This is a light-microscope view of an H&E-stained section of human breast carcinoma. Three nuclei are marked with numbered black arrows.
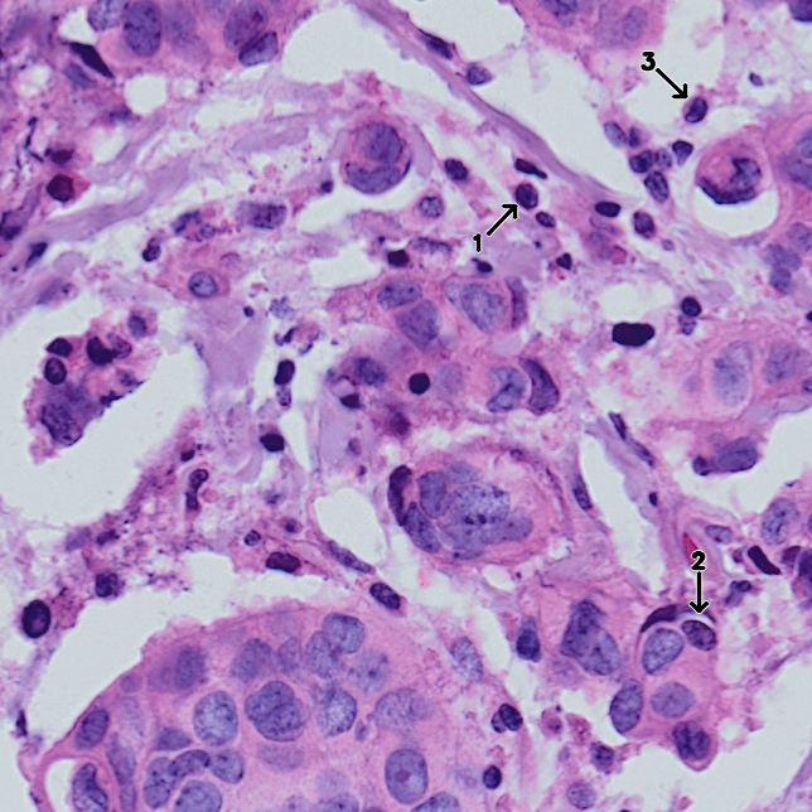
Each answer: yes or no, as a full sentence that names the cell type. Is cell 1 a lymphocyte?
Yes, the cell whose nucleus carries number 1 is a lymphocyte.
